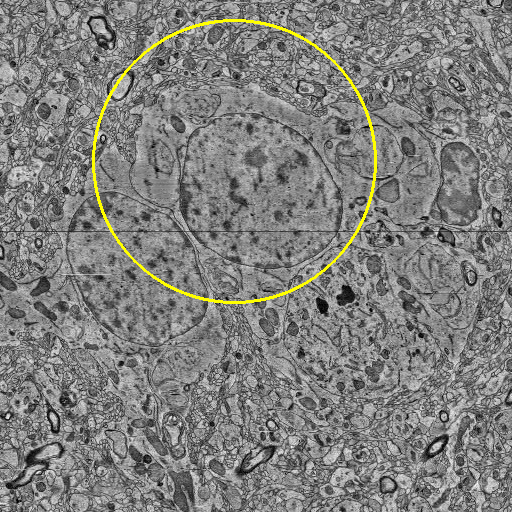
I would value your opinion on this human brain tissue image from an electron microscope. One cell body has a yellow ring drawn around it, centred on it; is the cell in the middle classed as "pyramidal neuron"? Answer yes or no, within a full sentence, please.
No, I would class the cell in the middle of the ring as a different kind.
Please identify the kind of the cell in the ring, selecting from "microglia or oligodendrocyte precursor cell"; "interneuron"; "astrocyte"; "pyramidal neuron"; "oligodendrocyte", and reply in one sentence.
The ring's central cell is an astrocyte instead.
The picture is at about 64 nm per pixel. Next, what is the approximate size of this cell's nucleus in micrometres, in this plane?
Approximately 11 micrometres long and 10 micrometres wide, in this plane.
